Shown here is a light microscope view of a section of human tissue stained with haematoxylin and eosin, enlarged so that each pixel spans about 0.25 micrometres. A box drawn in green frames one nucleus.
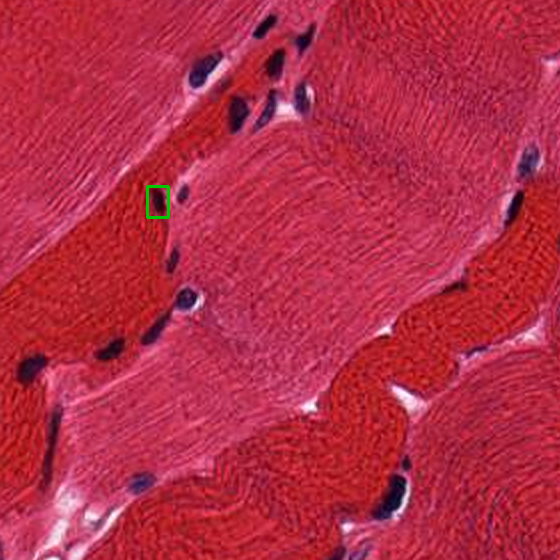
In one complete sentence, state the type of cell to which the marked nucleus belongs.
The mark in this picture falls on the nucleus of a skeletal muscle fibre.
